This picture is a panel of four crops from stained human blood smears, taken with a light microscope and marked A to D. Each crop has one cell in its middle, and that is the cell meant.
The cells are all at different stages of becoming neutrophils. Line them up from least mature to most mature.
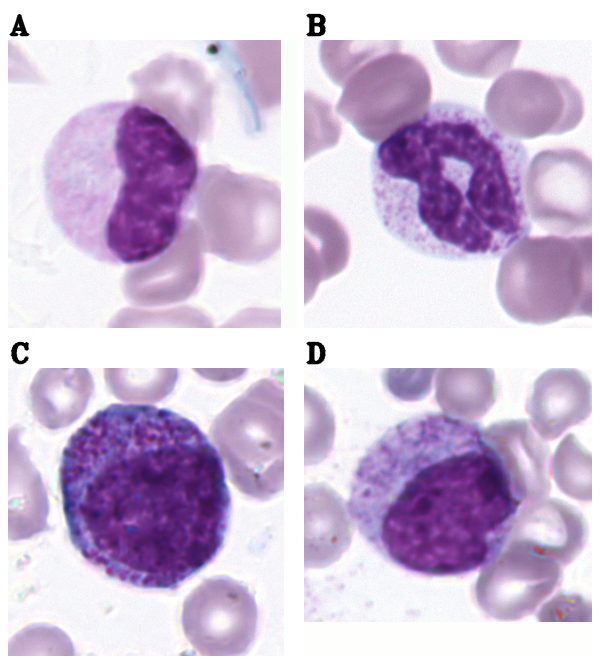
C, D, A, B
